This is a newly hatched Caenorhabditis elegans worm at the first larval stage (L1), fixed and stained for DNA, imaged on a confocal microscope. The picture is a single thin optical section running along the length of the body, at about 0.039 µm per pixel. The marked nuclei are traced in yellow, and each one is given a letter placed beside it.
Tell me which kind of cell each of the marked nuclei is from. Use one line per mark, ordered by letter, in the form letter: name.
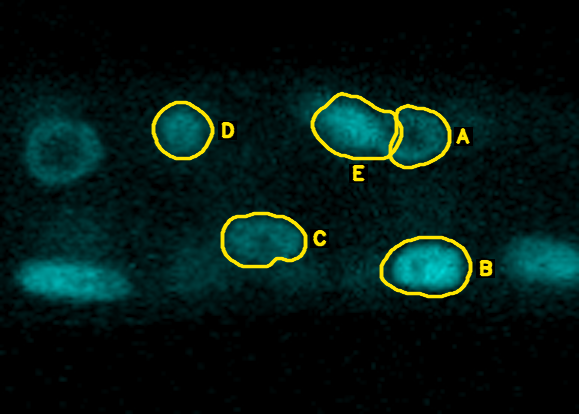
A: intestinal cell
B: body wall muscle cell
C: intestinal cell
D: body wall muscle cell
E: body wall muscle cell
